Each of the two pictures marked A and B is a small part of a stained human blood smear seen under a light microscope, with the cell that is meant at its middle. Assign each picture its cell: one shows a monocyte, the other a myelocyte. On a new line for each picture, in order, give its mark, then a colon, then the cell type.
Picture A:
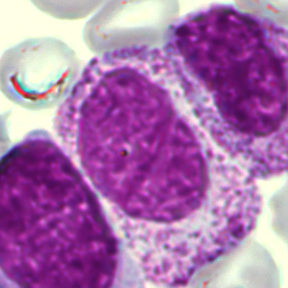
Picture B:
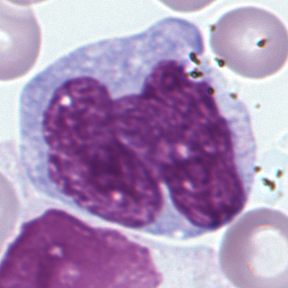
A: myelocyte
B: monocyte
